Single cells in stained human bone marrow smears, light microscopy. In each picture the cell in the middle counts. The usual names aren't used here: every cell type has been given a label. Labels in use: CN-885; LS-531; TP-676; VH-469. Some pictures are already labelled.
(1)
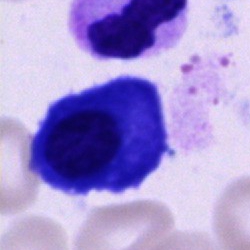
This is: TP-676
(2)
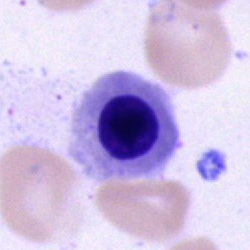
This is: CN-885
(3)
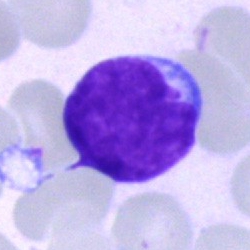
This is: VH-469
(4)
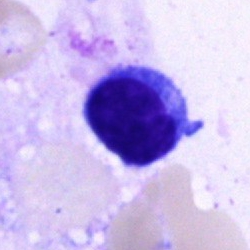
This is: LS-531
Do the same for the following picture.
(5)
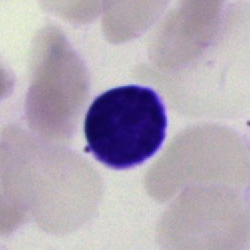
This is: LS-531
